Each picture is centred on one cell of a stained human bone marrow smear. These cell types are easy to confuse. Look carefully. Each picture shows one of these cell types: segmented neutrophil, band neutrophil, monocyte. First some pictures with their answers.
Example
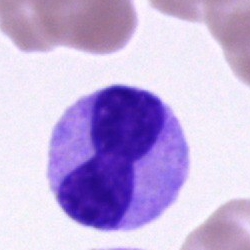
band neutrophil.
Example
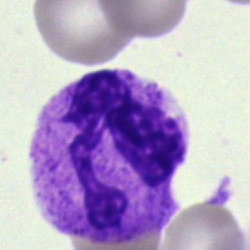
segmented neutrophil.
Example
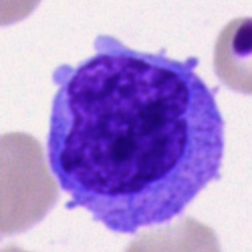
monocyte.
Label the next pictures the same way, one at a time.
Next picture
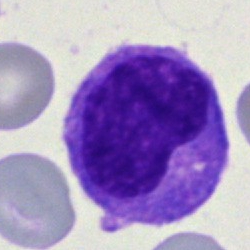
monocyte.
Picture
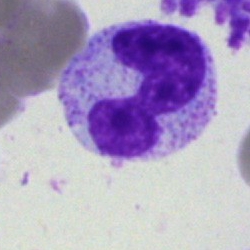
band neutrophil.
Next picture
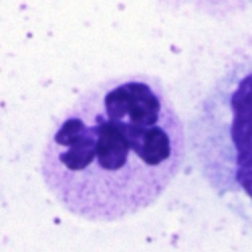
segmented neutrophil.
